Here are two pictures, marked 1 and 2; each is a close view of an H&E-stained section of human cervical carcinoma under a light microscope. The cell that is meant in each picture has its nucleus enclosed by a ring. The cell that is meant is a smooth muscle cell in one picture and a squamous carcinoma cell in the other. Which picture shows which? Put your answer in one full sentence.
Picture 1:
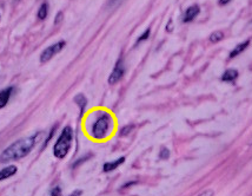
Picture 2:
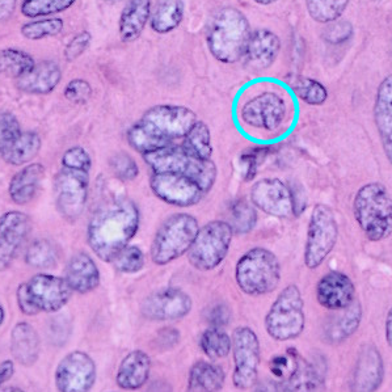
The cell in picture 1 is a smooth muscle cell, and the one in picture 2 is a squamous carcinoma cell.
